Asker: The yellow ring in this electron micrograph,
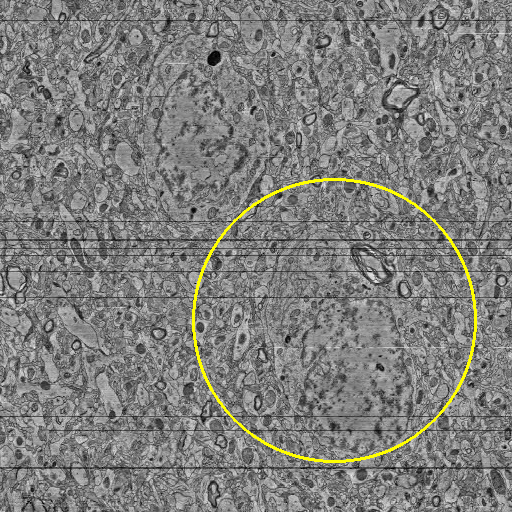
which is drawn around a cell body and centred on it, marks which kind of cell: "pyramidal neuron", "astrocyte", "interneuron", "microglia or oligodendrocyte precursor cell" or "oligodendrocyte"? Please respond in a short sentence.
The marked cell is an interneuron.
